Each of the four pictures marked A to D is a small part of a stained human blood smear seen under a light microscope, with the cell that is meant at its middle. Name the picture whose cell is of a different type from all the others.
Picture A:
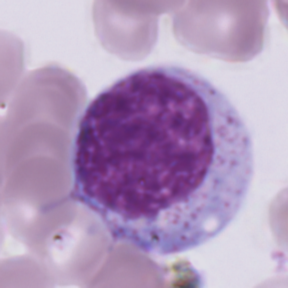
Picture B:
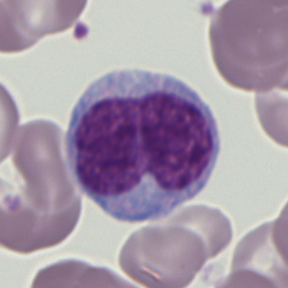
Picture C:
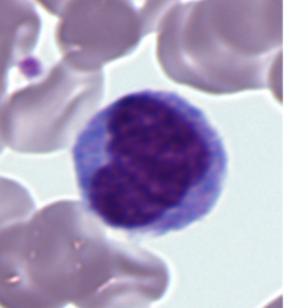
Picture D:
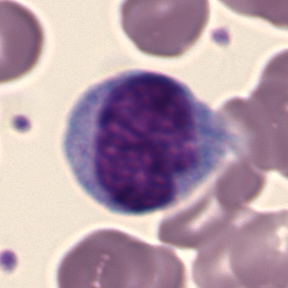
A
